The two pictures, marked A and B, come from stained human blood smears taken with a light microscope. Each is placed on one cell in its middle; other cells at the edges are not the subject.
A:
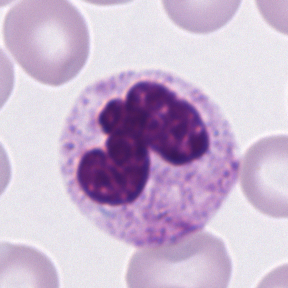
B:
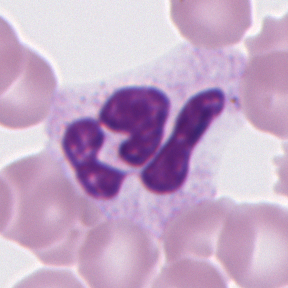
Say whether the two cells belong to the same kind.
yes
